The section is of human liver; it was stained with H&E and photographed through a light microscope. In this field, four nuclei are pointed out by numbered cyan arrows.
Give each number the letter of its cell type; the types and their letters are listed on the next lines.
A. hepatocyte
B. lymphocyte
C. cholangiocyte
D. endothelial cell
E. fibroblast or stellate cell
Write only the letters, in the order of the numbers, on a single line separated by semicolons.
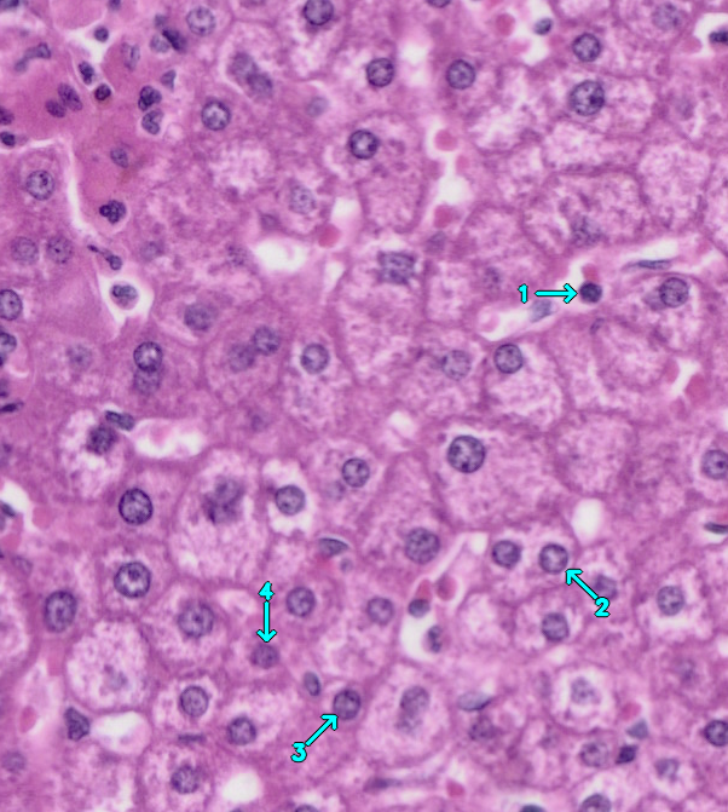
B; A; A; A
